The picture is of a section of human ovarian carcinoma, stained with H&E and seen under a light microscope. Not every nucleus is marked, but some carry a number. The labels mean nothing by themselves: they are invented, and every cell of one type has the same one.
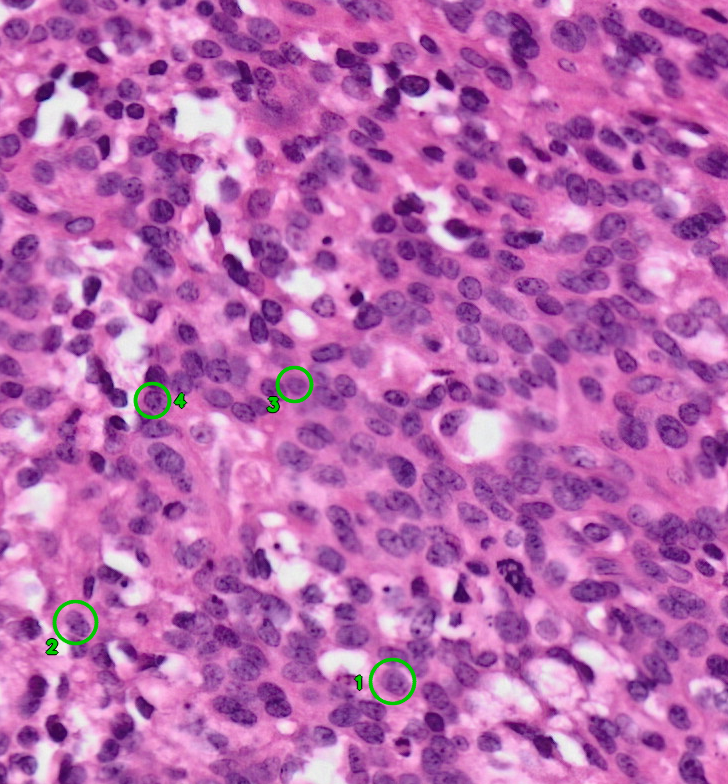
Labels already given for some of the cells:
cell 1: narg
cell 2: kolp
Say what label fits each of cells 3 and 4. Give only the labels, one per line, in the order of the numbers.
narg
narg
